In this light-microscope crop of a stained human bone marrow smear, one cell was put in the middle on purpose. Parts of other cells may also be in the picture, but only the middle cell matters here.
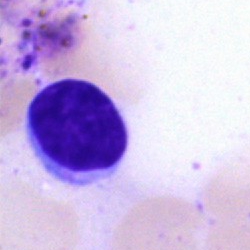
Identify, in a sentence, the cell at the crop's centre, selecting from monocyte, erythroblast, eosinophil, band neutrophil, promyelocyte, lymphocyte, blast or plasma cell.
Classification of the middle cell gives a lymphocyte.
